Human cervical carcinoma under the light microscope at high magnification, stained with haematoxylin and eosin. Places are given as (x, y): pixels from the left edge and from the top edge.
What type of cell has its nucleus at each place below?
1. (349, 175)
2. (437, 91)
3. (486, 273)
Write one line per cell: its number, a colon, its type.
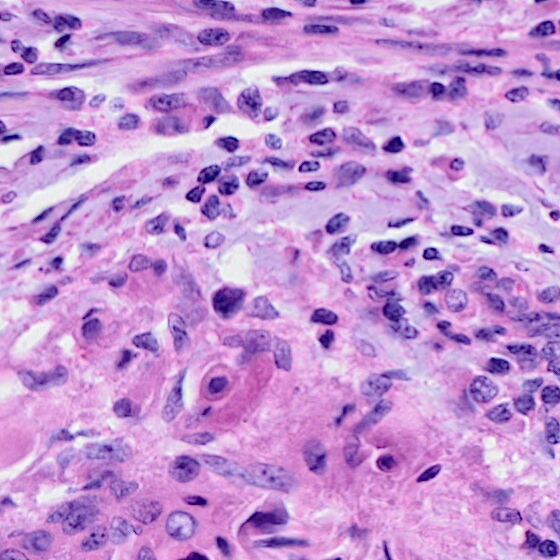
1: macrophage or monocyte
2: lymphocyte
3: endothelial cell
